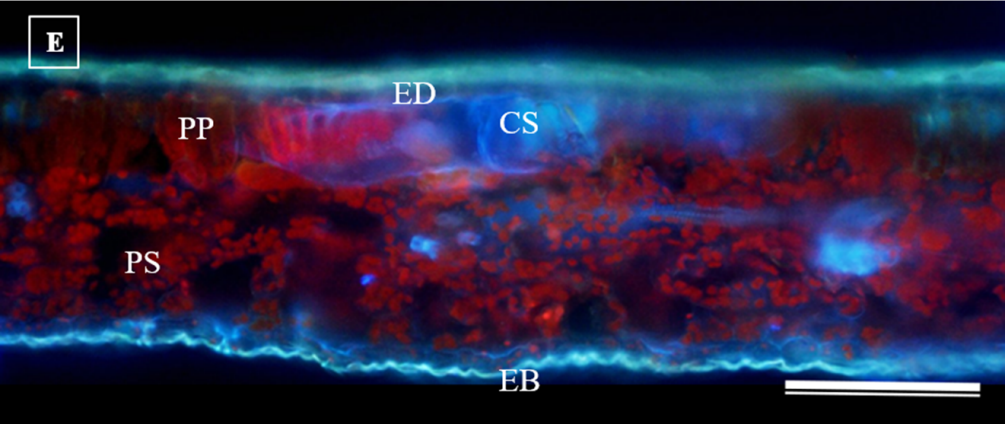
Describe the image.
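This transverse section shows the leaf lamina, bounded above and below by a single layer of epidermis whose walls fluoresce bright blue-white. Just beneath the upper epidermis lie elongated, upright cells of the palisade parenchyma, many packed with red-fluorescing granules. Below them the interior is filled with more loosely arranged cells that also carry numerous small red granules scattered through their cytoplasm. Among these cells a few larger rounded cells with diffuse blue contents stand out against the red background. The lower epidermis has a slightly wavy, bright blue outer surface.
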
